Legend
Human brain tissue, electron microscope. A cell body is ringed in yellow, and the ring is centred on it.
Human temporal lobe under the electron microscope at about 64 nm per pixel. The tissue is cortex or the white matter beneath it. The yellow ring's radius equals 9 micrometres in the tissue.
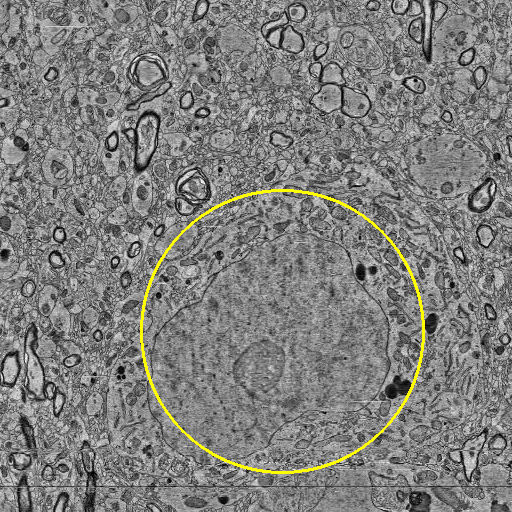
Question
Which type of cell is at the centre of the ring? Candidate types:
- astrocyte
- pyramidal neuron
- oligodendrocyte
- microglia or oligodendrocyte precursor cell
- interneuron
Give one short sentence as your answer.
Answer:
The yellow ring is centred here on an interneuron.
